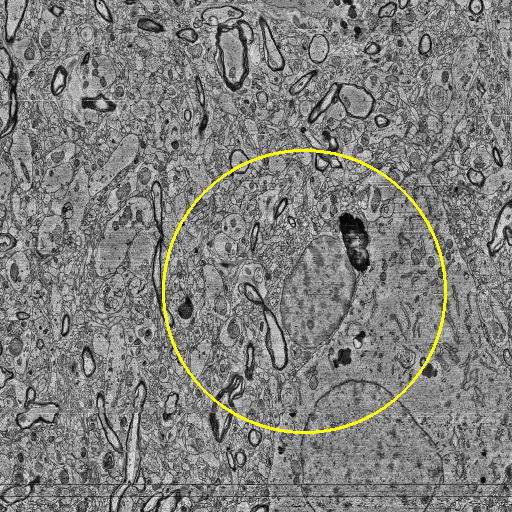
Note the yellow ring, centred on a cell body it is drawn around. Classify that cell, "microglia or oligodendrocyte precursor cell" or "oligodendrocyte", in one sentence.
The cell the ring is centred on is an oligodendrocyte.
